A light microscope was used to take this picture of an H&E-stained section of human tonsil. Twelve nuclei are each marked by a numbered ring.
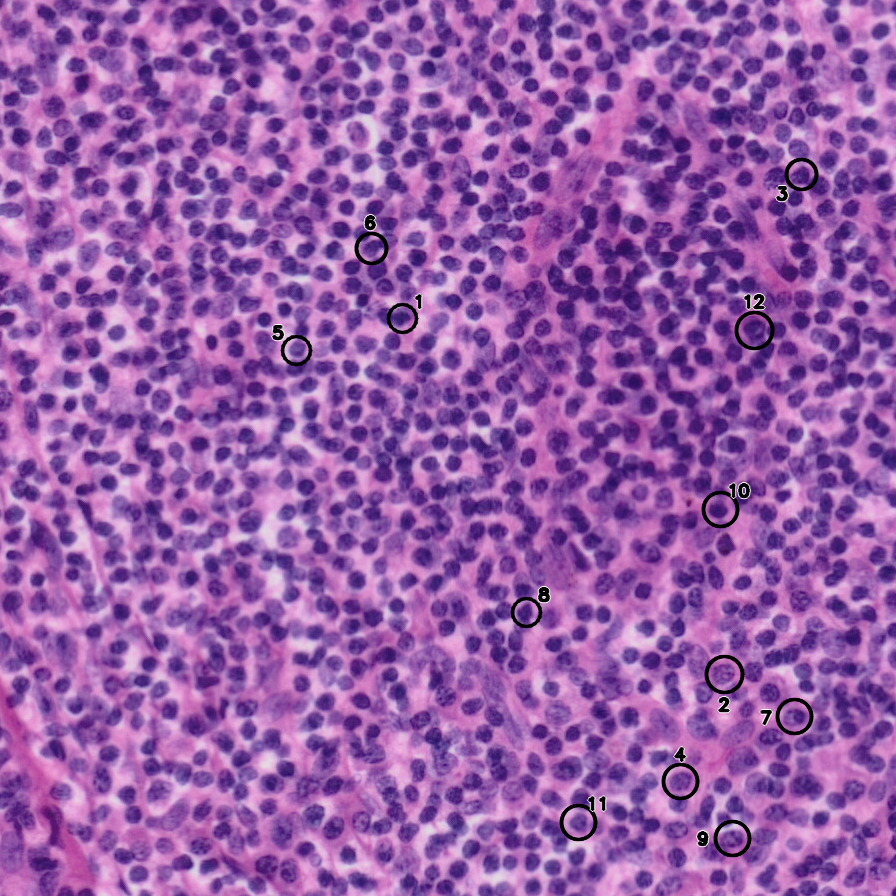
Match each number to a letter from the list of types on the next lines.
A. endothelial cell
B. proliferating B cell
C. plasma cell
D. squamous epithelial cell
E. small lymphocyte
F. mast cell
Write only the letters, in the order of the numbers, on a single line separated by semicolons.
E; C; E; C; E; E; C; E; C; E; E; C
